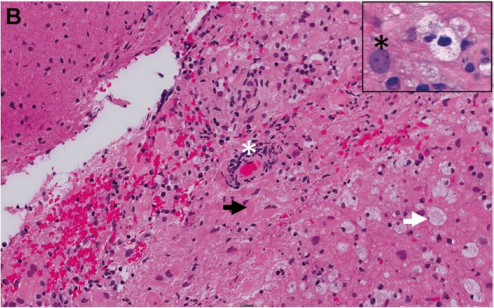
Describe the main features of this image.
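Brain tissue with extensive inflammatory infiltrates: a small vessel containing red blood cells is cuffed by many small, dark, round lymphoid nuclei, and extravasated red blood cells spread through the neighbouring tissue. To the right, numerous rounded foamy macrophages with pale vacuolated cytoplasm fill the tissue, among scattered larger cells with pink cytoplasm. The inset shows a cell with an enlarged, round, dark purple nucleus beside a macrophage with vacuolated cytoplasm.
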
